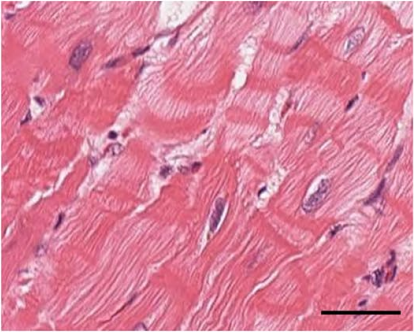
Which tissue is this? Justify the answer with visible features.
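Single oval nuclei lie centrally within the fibres. Narrow clefts with small dark nuclei separate the fibres. That points to this answer: myocardium.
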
